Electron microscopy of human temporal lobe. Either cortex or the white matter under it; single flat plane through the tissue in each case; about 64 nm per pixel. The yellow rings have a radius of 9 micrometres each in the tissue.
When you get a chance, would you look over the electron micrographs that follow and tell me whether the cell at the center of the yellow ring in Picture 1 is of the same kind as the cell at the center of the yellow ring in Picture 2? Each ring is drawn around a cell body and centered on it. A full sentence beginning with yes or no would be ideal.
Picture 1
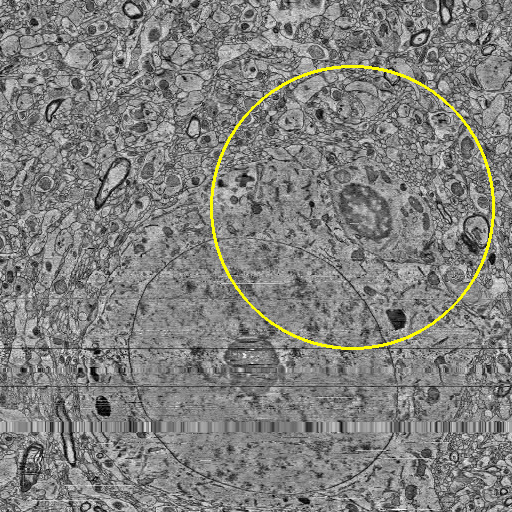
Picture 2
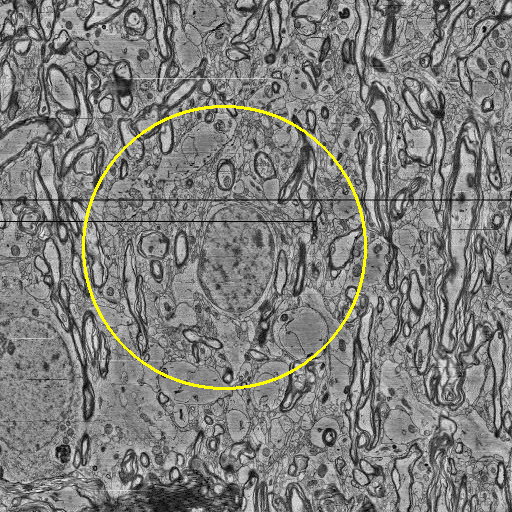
No, they are two kinds of cell.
